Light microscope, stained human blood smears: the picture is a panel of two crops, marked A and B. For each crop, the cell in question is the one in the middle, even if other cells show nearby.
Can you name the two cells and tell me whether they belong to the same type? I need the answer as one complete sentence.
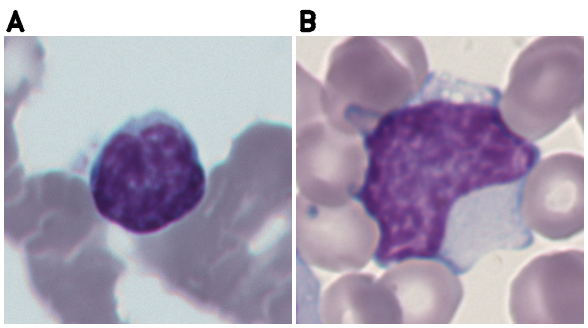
No, a lymphocyte is the cell in crop A; a blast is the cell in crop B.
